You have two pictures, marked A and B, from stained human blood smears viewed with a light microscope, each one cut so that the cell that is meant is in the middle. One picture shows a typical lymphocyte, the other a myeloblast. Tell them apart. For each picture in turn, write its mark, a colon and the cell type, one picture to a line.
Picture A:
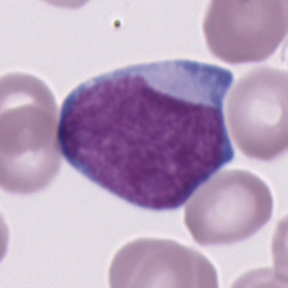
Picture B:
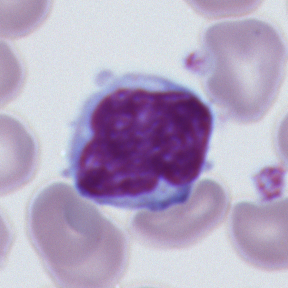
A: myeloblast
B: typical lymphocyte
